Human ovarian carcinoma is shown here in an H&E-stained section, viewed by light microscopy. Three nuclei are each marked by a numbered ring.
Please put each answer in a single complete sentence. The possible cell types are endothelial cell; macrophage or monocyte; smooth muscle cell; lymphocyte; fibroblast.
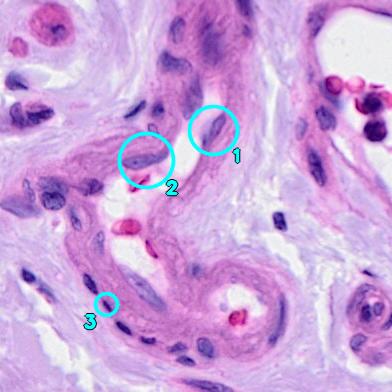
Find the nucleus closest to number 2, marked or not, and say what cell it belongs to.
It is a smooth muscle cell whose nucleus is nearest to number 2.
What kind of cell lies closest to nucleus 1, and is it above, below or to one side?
The nearest nucleus is that of an endothelial cell and lies above and to the left of nucleus 1.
